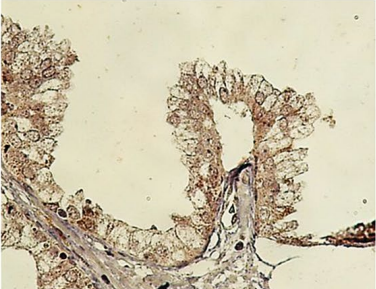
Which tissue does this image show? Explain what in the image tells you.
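A gland lined by tall columnar cells with pale, clear cytoplasm. The epithelium forms folds projecting into the lumen. Fibromuscular stroma lies beneath the gland. On this evidence: prostate tissue.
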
